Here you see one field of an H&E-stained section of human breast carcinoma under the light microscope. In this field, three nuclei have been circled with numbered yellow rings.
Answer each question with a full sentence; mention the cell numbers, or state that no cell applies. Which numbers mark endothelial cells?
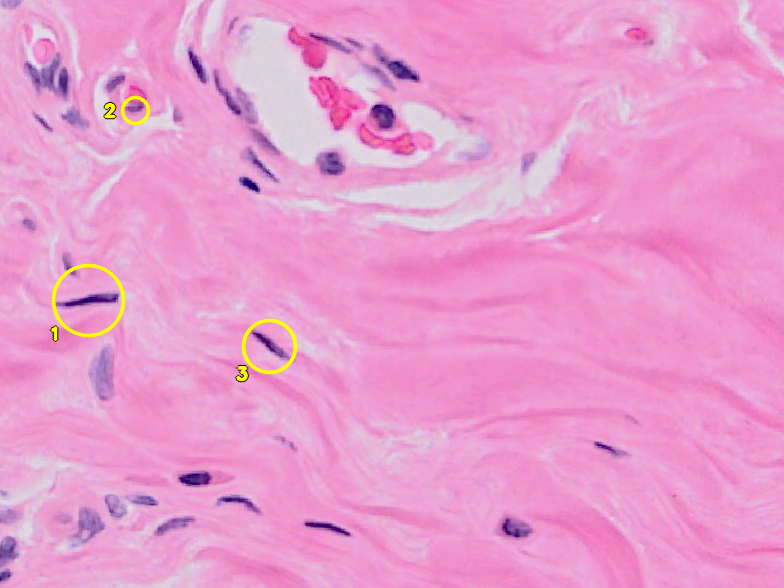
Across all the numbered cells, only number 2 is an endothelial cell.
